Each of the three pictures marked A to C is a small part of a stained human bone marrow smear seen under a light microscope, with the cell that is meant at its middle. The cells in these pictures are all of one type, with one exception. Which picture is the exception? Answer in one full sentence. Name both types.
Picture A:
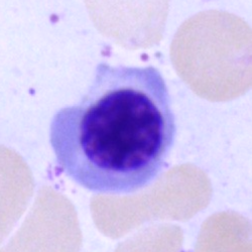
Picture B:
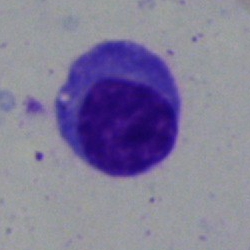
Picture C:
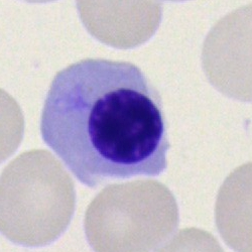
The others show erythroblasts, but picture B shows a plasma cell.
